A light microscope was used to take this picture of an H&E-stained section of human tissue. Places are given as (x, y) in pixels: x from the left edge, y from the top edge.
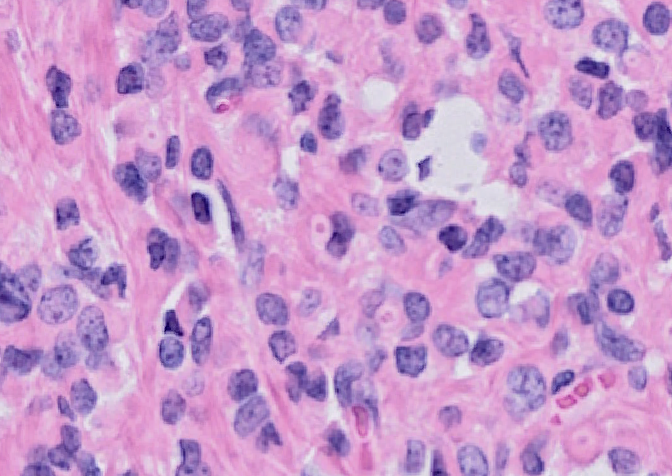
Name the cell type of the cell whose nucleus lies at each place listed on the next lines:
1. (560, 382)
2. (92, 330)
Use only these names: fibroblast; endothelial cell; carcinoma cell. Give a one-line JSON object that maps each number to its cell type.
{"1": "endothelial cell", "2": "carcinoma cell"}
